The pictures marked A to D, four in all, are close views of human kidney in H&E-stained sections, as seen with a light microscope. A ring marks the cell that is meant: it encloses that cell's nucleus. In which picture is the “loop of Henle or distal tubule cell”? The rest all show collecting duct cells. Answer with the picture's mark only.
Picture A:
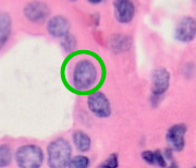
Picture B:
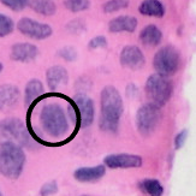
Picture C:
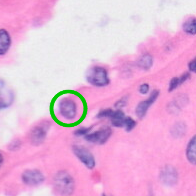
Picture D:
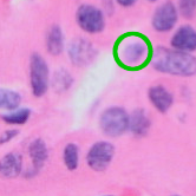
C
